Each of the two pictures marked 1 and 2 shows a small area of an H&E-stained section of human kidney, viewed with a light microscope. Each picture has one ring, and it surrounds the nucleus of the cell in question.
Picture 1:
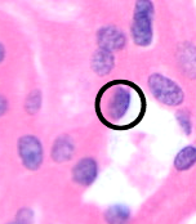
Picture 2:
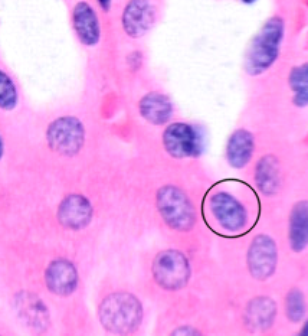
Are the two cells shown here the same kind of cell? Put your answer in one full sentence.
Yes, the two pictures both show “loop of Henle or distal tubule cells”.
